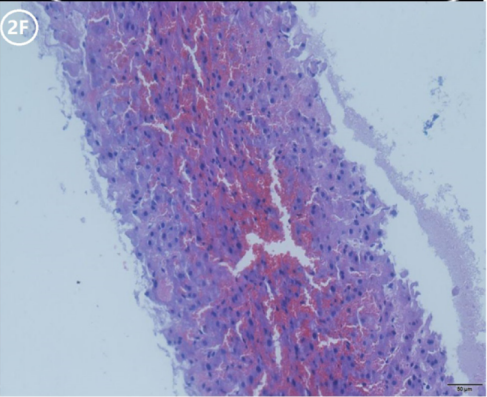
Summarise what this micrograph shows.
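A narrow strip of liver tissue shows hepatocytes in cords, with the sinusoids between them widened and packed with red blood cells. The hepatocytes are polygonal, with pink cytoplasm and round purple nuclei. Blood congestion is heaviest along the middle of the strip, around a slit-like vascular space. The strip runs diagonally across an empty background, with a thin pale band of tissue along one edge.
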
